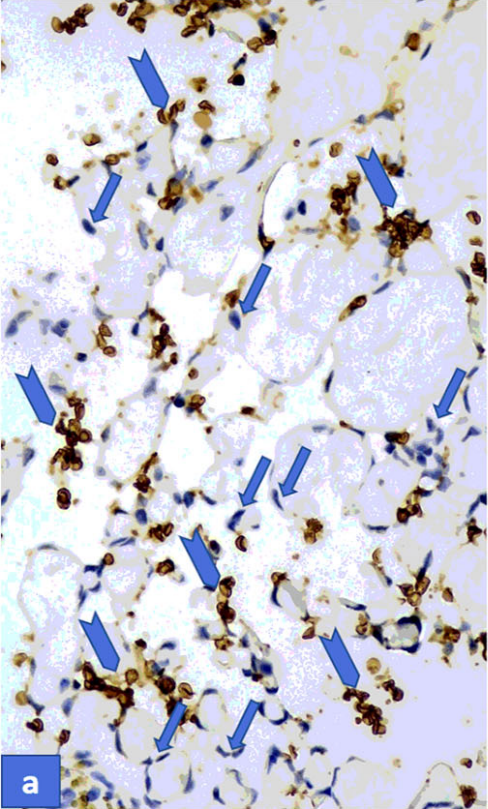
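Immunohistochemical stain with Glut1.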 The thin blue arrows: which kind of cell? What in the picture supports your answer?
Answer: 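Flat, elongated blue nuclei lining the thin walls of small vascular spaces. These lining cells are not stained brown.
Hence: endothelial cells.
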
